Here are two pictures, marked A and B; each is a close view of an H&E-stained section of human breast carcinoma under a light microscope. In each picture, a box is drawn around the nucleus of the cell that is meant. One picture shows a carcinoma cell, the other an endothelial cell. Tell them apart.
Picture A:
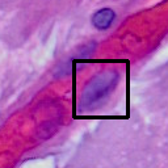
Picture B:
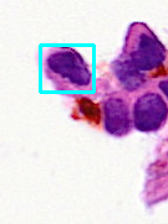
A: endothelial cell
B: carcinoma cell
